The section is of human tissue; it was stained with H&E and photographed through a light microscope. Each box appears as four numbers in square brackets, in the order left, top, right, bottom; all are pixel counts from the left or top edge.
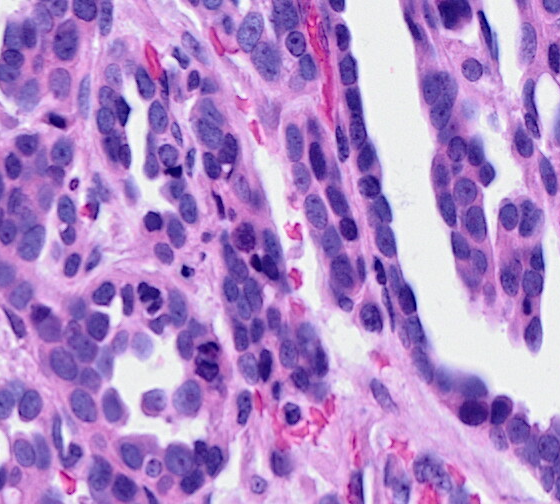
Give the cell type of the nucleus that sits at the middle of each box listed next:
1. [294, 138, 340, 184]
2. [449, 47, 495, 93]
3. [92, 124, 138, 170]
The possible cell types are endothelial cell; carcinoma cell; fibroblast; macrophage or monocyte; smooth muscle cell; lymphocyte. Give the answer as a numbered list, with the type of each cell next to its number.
1. carcinoma cell
2. macrophage or monocyte
3. carcinoma cell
